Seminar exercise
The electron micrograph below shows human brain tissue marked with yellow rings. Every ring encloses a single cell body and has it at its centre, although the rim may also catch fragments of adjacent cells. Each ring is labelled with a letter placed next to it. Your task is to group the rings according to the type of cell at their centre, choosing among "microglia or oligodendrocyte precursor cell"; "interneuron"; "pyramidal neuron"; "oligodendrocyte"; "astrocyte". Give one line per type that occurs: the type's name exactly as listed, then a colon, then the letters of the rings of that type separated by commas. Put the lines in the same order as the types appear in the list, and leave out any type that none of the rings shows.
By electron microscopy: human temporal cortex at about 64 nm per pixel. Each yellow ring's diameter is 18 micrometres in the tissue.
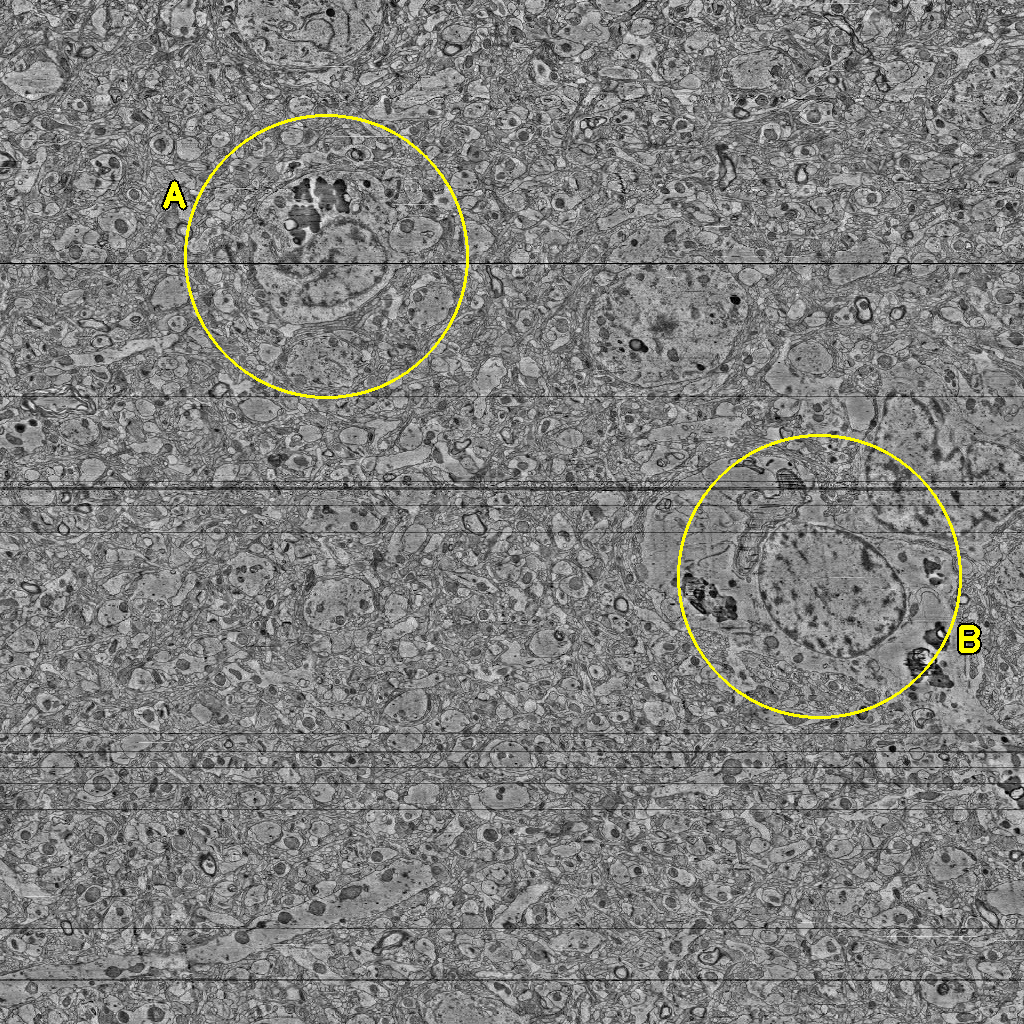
interneuron: A
astrocyte: B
